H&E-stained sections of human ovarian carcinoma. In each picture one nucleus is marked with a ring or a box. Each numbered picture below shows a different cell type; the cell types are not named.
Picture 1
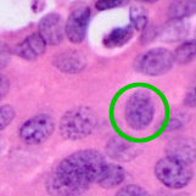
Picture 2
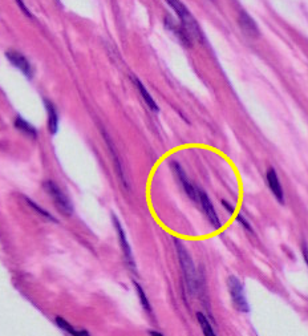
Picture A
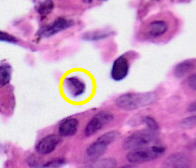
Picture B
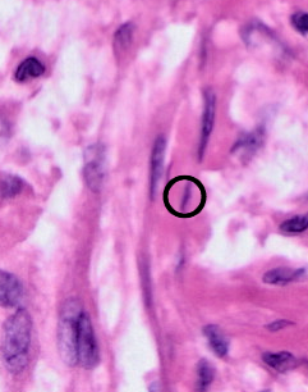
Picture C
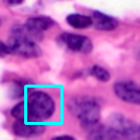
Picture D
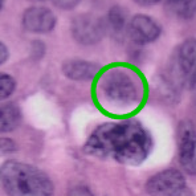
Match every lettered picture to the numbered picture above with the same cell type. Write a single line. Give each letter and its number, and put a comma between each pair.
A 1, B 2, C 1, D 1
